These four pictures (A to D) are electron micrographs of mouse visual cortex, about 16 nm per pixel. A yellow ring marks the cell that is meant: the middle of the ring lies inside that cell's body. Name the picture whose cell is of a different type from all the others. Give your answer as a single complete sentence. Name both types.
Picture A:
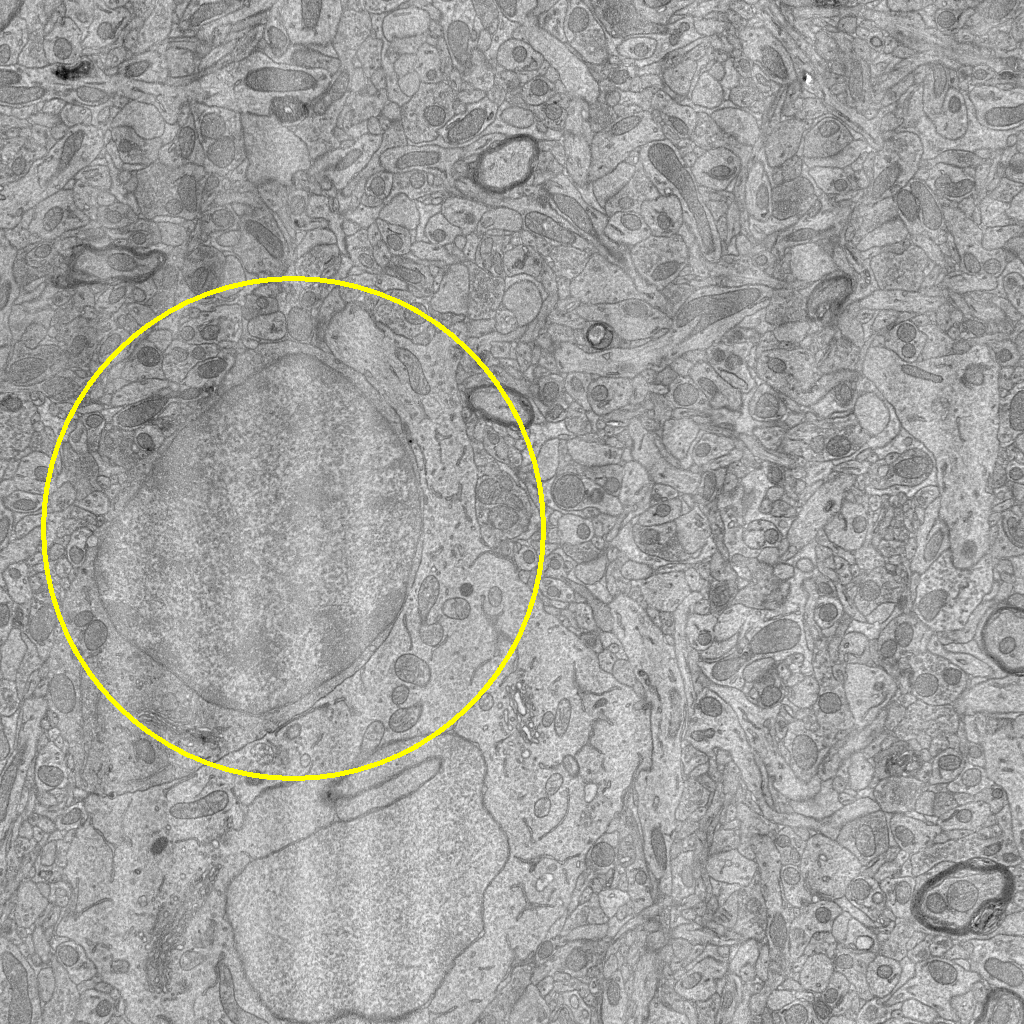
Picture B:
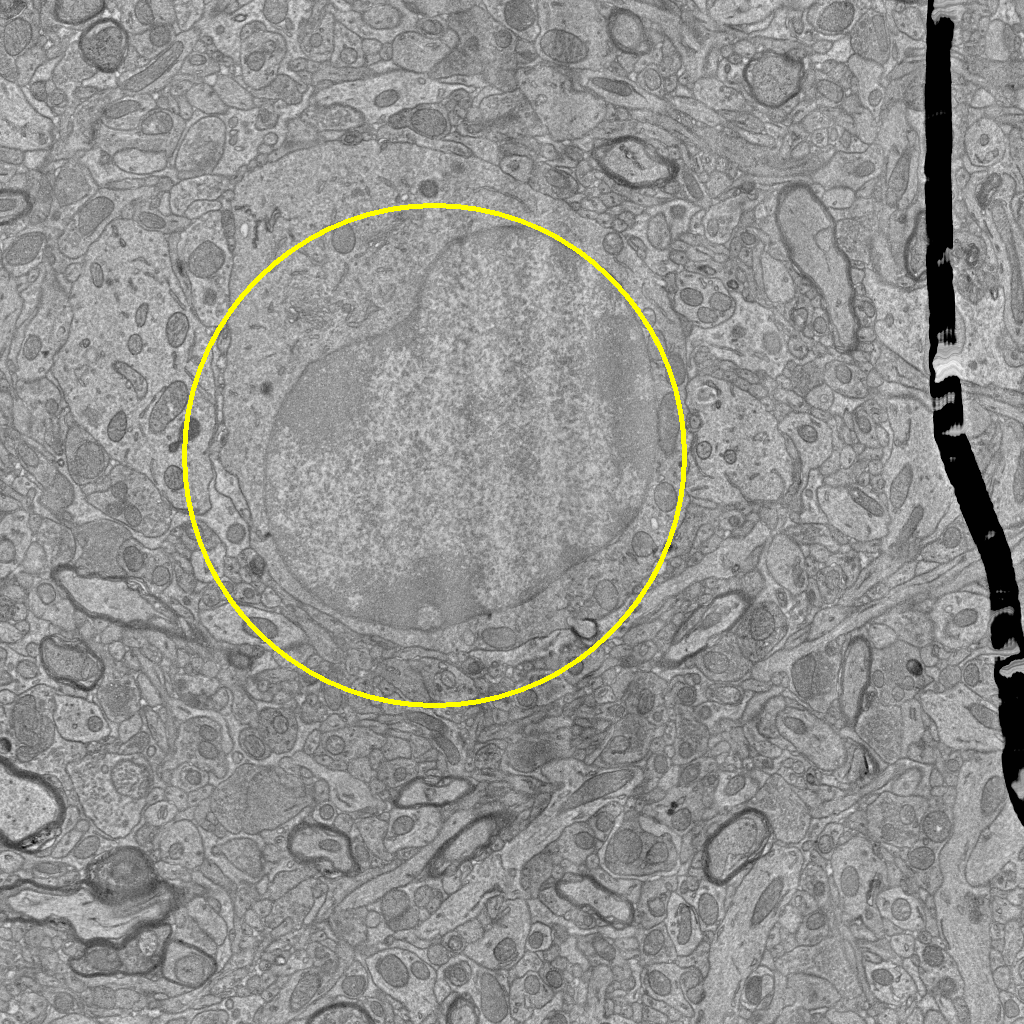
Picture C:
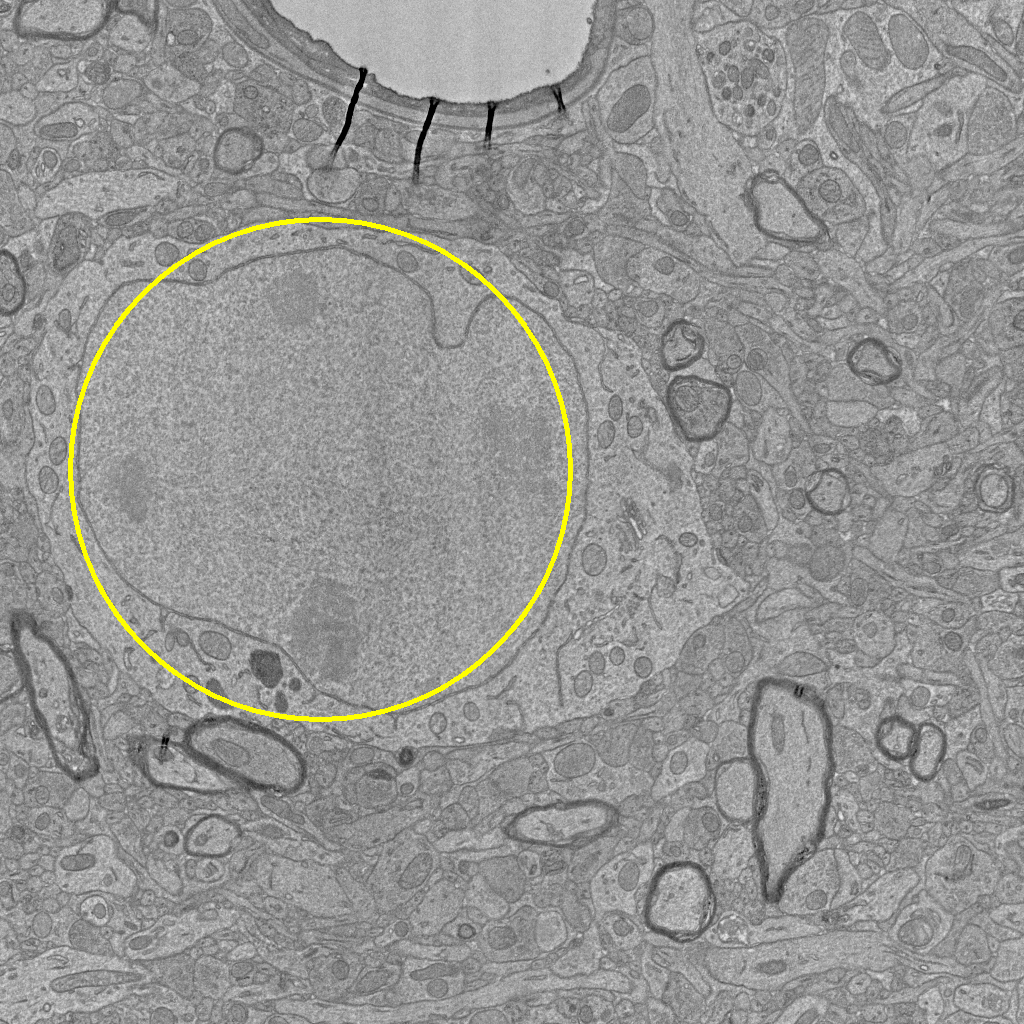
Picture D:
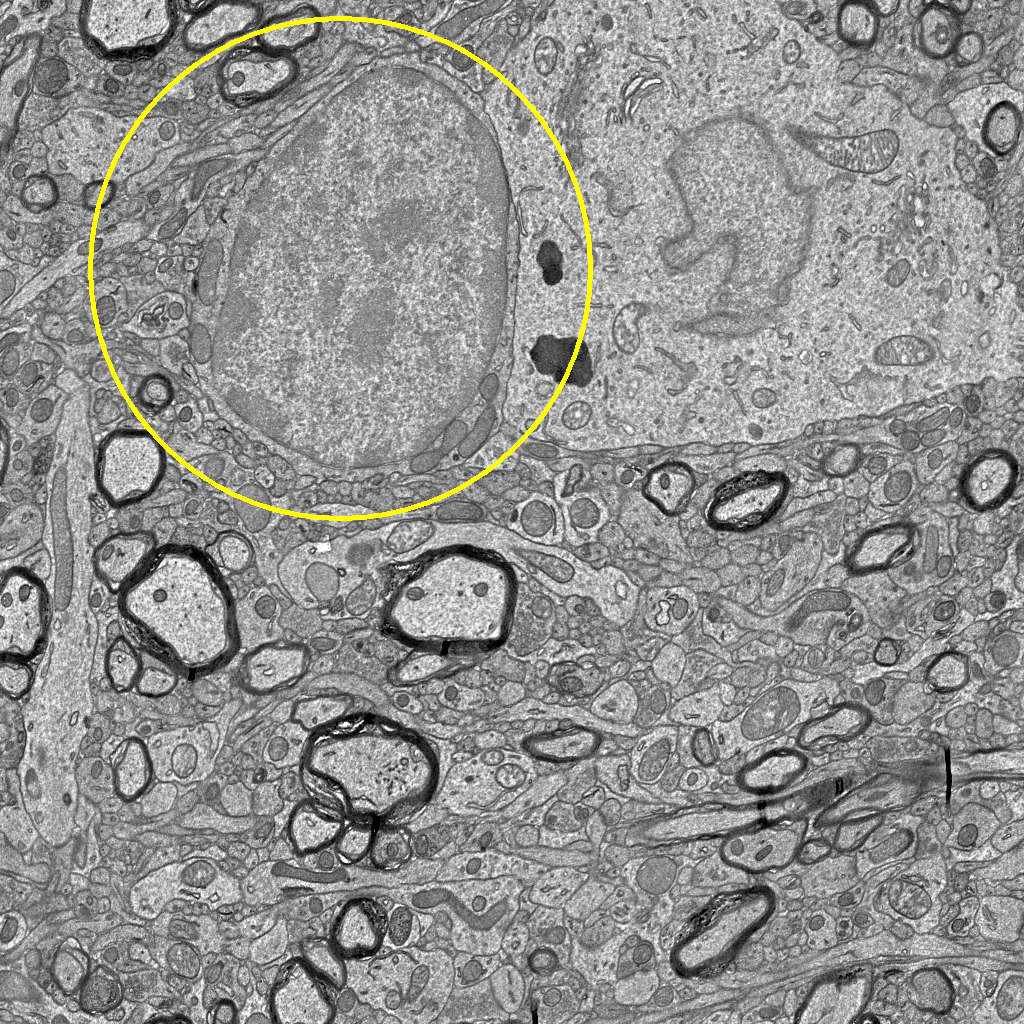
Picture C is the odd one out: it shows an excitatory neuron, while the others show oligodendrocytes.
